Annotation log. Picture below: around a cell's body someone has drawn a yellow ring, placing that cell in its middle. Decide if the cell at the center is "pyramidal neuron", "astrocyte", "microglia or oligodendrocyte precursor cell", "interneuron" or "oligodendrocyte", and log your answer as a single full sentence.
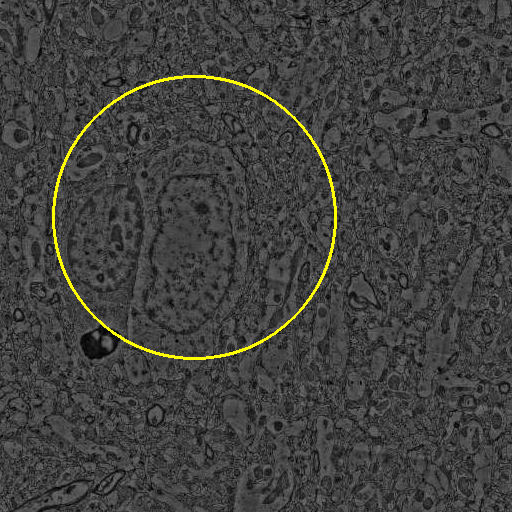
My entry records an interneuron as the cell sitting at the center of the yellow ring.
